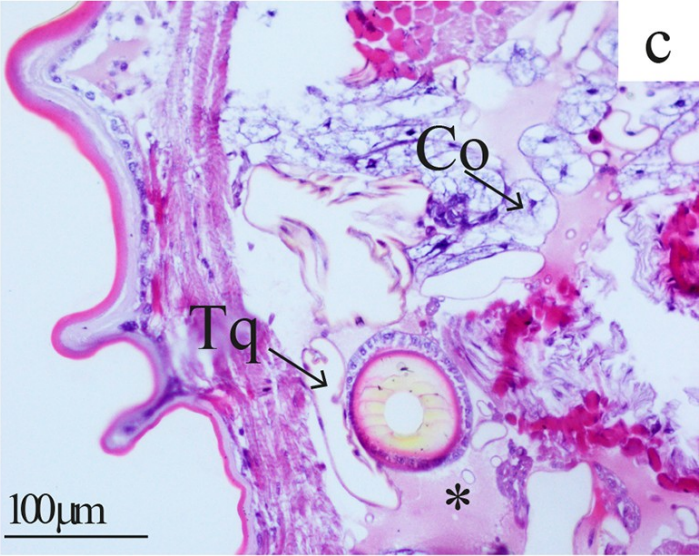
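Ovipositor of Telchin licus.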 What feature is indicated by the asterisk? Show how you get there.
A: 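The asterisk lies in a pale pink, smooth, glassy area. On this evidence: hyaline eosinophilic fluid.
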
